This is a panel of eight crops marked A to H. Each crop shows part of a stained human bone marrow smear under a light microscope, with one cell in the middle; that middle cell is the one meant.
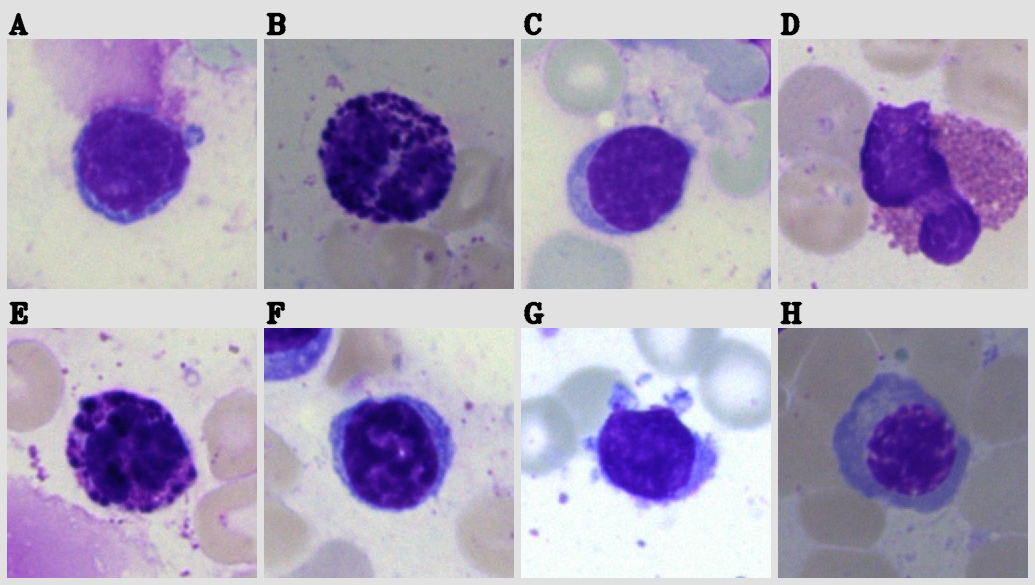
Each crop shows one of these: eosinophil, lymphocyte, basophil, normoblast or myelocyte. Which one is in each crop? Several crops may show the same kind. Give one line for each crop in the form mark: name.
A: lymphocyte
B: basophil
C: lymphocyte
D: eosinophil
E: basophil
F: lymphocyte
G: lymphocyte
H: normoblast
